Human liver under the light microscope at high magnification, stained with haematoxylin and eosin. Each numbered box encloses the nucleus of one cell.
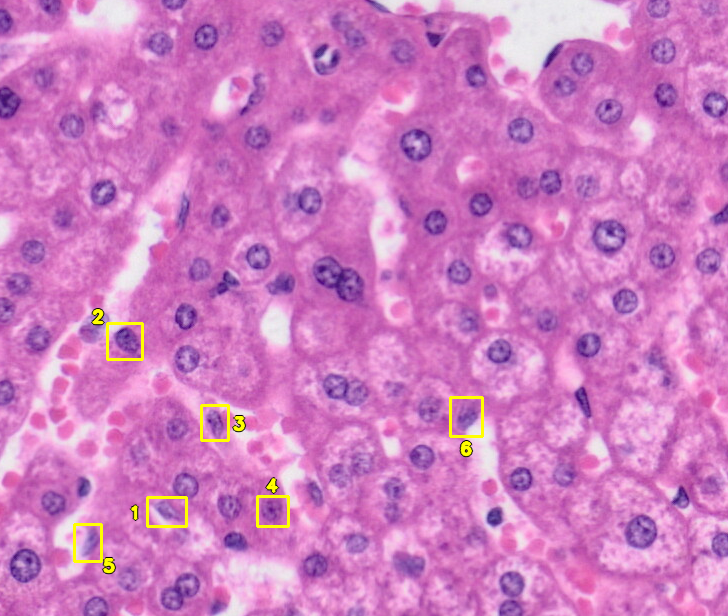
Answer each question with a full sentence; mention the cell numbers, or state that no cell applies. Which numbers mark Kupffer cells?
The cells that the numbers 1 and 3 belong to are Kupffer cells.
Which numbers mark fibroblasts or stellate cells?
Cell 2 is a fibroblast or stellate cell, while all remaining marked cells are of other types.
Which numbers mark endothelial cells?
The cells with labels 5 and 6 are endothelial cells.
